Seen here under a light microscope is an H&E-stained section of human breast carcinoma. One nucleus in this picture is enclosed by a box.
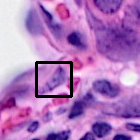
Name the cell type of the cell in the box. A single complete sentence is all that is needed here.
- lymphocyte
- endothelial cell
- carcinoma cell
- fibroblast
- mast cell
Students should answer that the cell in the box is an endothelial cell.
